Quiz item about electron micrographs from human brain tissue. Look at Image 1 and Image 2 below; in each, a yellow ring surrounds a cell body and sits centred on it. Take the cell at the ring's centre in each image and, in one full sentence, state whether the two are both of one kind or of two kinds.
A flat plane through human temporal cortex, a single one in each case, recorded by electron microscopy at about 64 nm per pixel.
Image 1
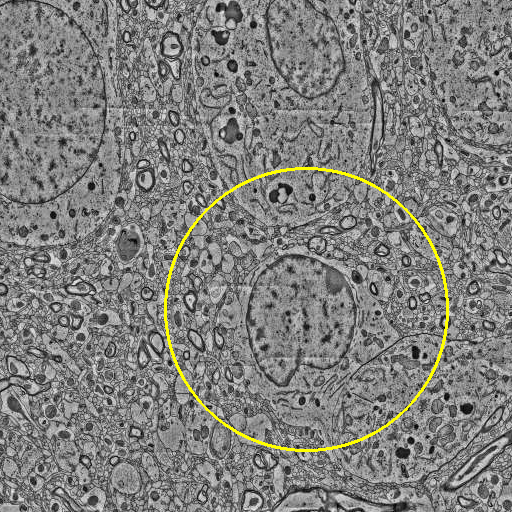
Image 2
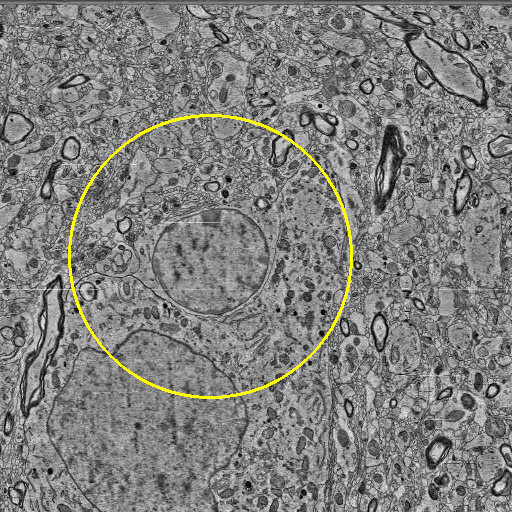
In Image 1 and Image 2, the cells at the ring centres are both of one kind.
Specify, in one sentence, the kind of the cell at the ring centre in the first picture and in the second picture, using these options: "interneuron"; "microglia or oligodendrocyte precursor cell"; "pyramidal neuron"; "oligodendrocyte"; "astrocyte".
Each of the two pictures has a microglial cell or oligodendrocyte precursor cell at the ring centre.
